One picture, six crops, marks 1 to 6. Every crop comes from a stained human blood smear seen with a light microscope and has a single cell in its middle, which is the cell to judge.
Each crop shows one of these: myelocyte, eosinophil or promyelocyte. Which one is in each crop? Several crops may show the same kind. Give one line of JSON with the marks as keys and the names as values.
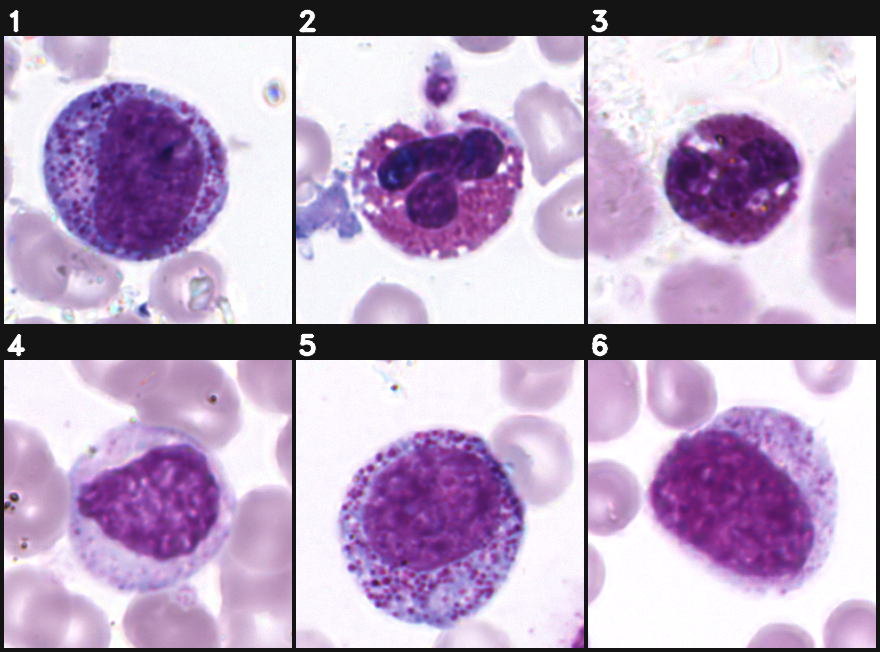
{"1": "promyelocyte", "2": "eosinophil", "3": "eosinophil", "4": "myelocyte", "5": "promyelocyte", "6": "myelocyte"}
